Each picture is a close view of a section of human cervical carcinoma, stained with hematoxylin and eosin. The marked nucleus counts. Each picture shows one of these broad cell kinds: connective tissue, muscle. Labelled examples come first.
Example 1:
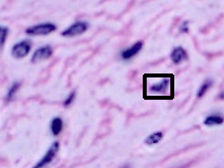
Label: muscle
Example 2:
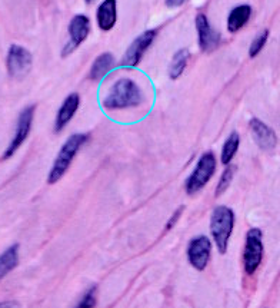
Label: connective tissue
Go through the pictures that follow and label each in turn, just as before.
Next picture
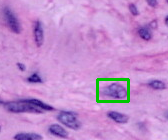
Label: muscle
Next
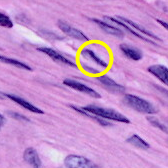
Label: connective tissue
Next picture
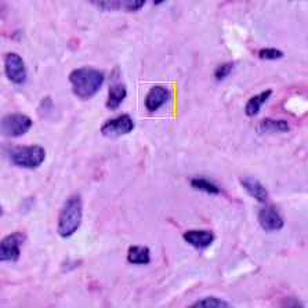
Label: connective tissue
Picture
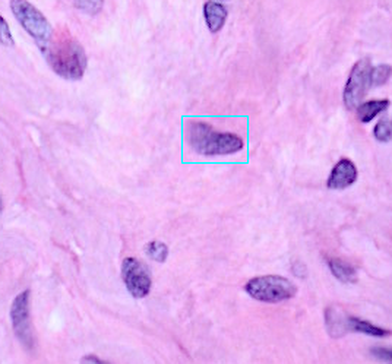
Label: connective tissue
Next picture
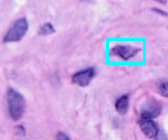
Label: connective tissue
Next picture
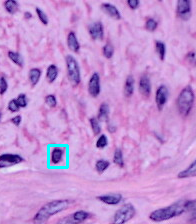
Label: muscle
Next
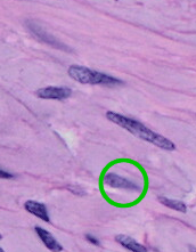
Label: connective tissue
